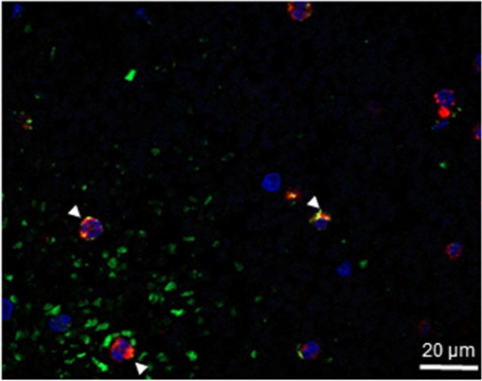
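Blue nuclei are sparse and well separated. Several rounded cells carry red staining in a rim or patches around their nuclei, and in some of them red overlaps green to give yellow. Numerous small green particles without nuclei are strewn across the mass, densest at the lower left. Other nuclei stand alone without red or green staining around them.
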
